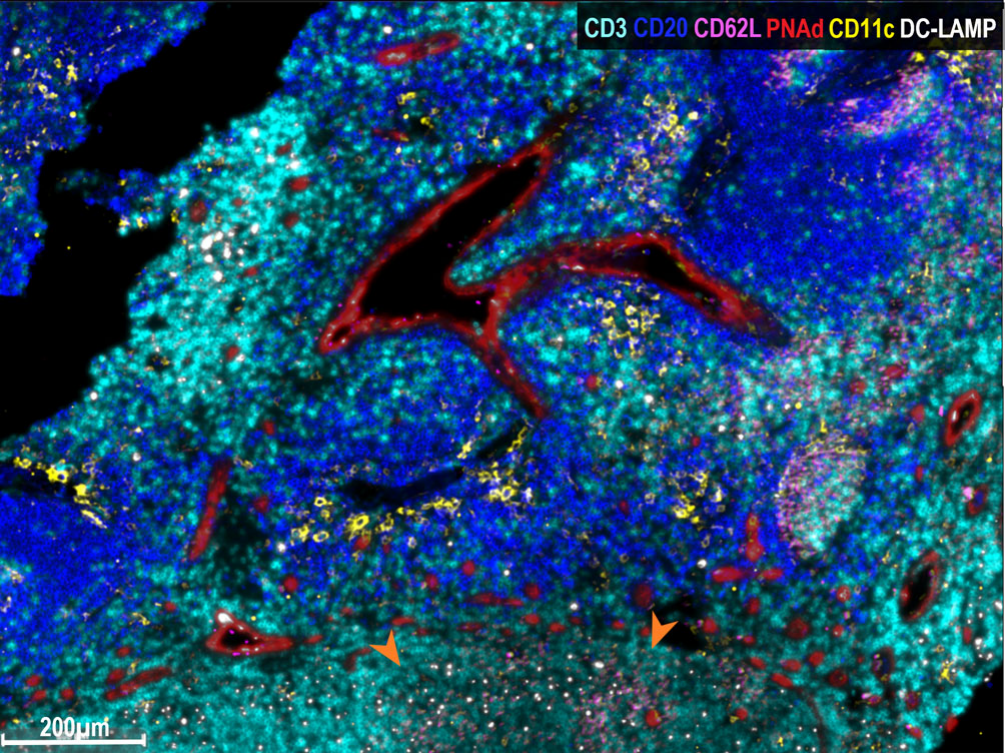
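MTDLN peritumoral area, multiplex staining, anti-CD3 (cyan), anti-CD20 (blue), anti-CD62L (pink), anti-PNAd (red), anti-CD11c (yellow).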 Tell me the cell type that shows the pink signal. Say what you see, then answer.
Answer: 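Pink signal forms a fine speckled haze over small round cells.
Conclusion: naïve lymphocytes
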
